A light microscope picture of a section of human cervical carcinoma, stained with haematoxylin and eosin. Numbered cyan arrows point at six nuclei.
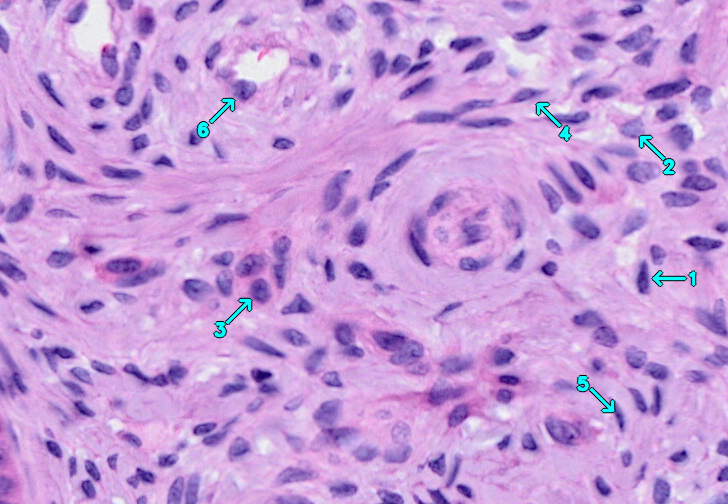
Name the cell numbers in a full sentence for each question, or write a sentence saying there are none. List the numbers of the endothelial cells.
The cells tagged 3 and 6 are endothelial cells in this tissue section.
